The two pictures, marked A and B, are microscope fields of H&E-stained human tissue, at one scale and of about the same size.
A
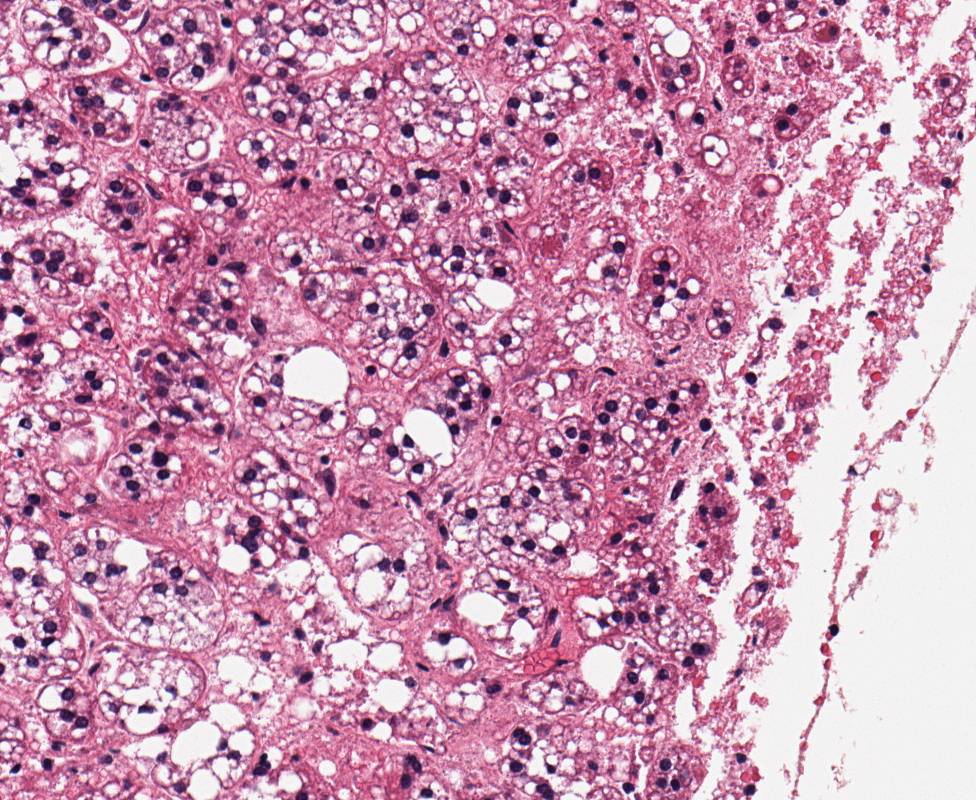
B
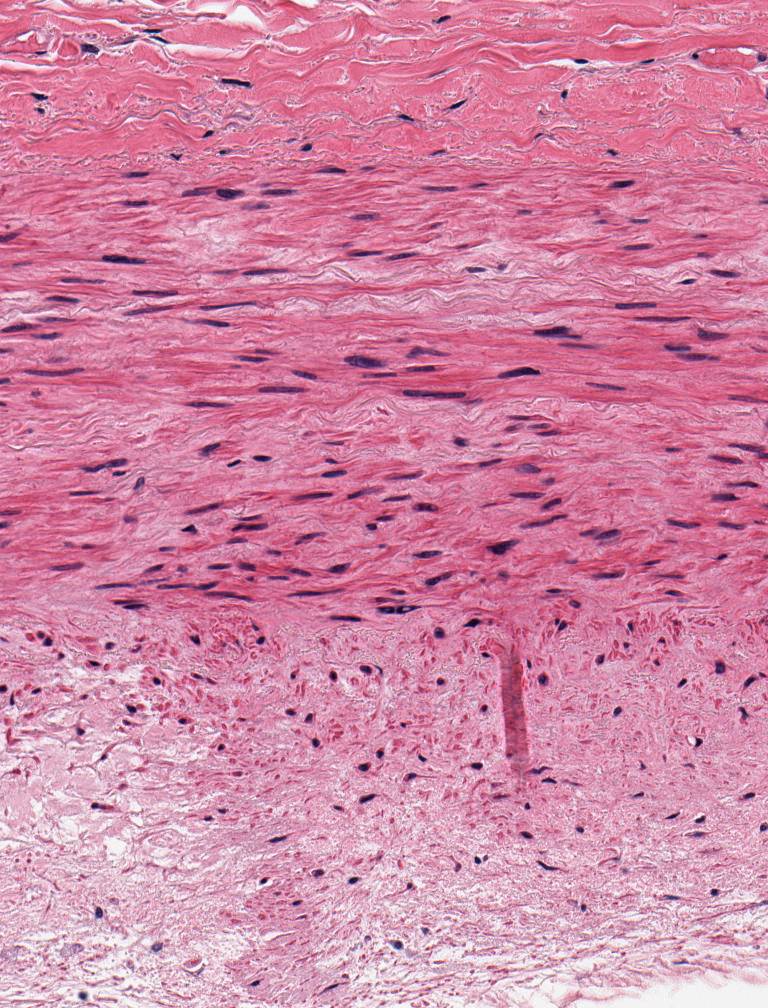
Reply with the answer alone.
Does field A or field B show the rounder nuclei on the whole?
A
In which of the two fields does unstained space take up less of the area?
B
